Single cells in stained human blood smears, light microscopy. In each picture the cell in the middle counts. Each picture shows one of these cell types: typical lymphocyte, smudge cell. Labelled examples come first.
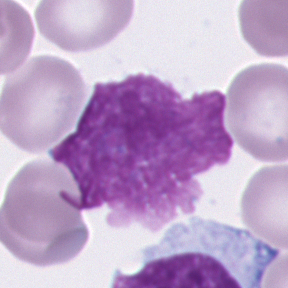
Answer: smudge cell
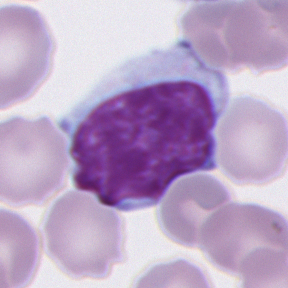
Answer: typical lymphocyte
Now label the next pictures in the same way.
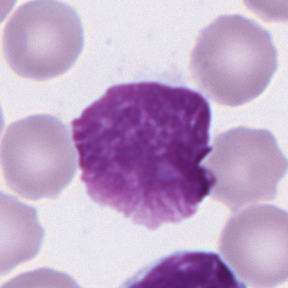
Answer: smudge cell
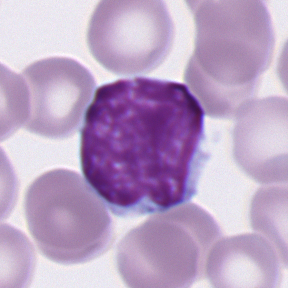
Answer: typical lymphocyte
